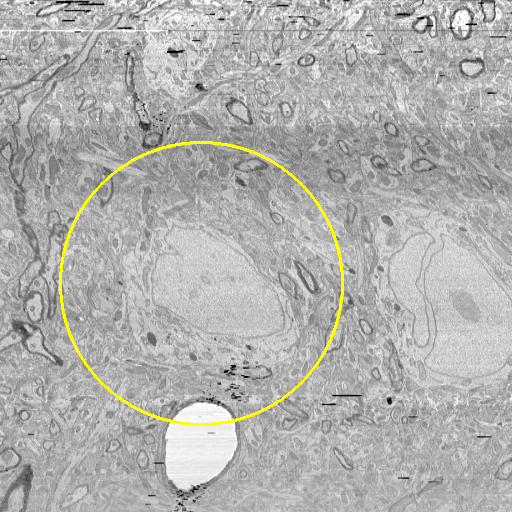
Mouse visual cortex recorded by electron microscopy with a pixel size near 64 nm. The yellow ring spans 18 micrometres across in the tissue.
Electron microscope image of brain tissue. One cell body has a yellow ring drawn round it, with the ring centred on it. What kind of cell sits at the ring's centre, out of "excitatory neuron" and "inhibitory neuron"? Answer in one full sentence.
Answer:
It is an inhibitory neuron whose cell body sits at the centre of the yellow ring.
